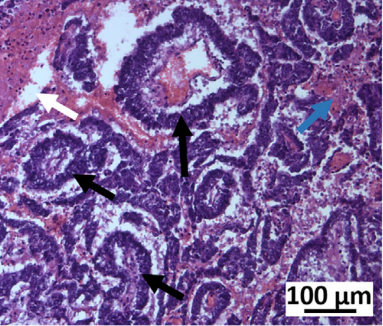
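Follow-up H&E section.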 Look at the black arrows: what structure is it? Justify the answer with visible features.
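The arrows point at rings of dark purple, crowded epithelial cells. The rings surround open lumina, some folded into papillae. On this evidence: epithelial tubules.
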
